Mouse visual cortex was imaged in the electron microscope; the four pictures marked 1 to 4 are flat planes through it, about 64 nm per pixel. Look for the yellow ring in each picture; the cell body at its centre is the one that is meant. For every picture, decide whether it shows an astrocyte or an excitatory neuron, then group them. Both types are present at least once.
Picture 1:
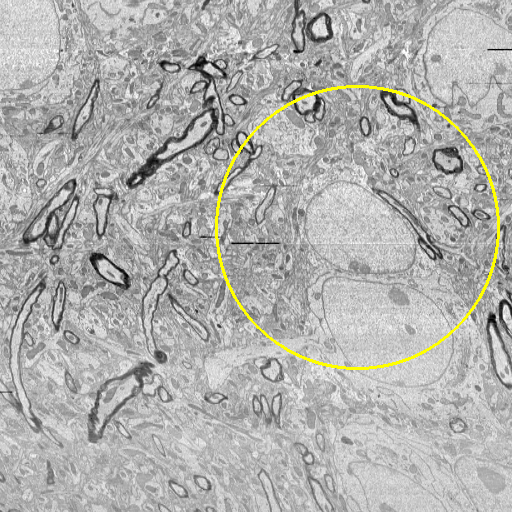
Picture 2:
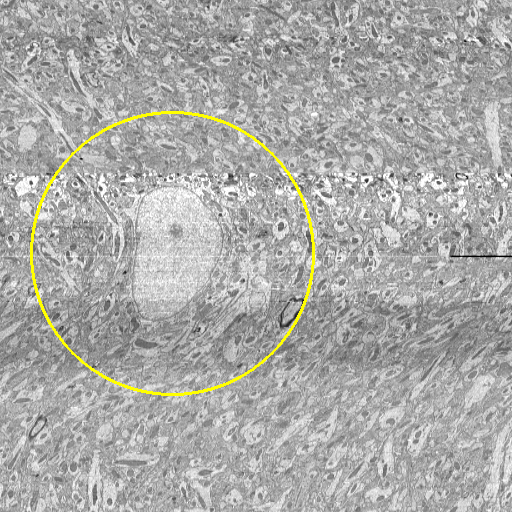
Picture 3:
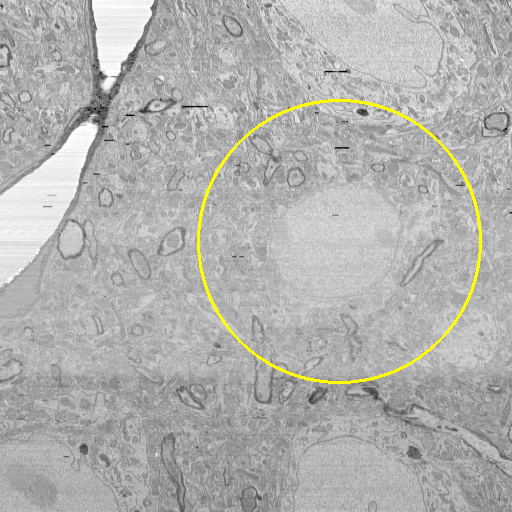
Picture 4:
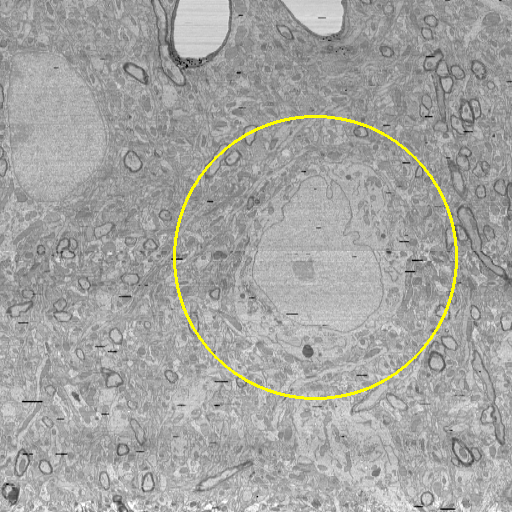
Pictures 1, 2 and 3 show astrocytes, while picture 4 shows an excitatory neuron.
